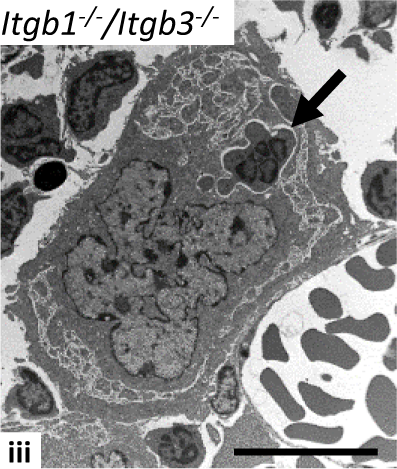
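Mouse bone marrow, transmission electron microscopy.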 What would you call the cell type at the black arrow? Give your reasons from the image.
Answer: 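The arrow points to a small cell with a dark, dense nucleus. The small cell lies inside the cytoplasm of a much larger cell. On this evidence: leucocyte.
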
